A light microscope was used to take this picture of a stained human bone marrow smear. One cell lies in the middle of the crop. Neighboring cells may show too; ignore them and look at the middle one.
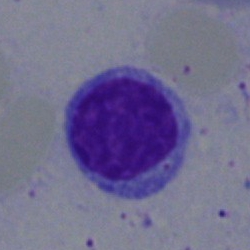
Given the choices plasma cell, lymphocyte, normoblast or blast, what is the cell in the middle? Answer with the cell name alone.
lymphocyte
